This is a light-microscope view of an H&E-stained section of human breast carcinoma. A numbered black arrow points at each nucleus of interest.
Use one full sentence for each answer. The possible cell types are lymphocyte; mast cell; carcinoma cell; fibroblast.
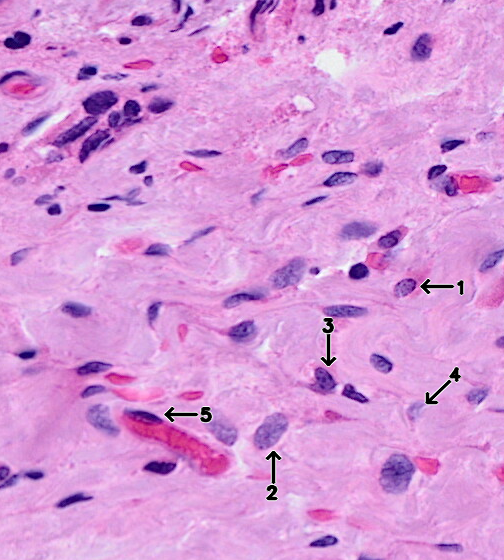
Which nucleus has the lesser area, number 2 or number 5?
Nucleus 5 covers less area, with nucleus 2 about 3 times as large.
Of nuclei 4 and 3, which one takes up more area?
At about 1.5 times the area of nucleus 4, nucleus 3 is the larger of the two.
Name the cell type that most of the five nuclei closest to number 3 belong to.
Of the five nuclei nearest to number 3, most belong to fibroblasts.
